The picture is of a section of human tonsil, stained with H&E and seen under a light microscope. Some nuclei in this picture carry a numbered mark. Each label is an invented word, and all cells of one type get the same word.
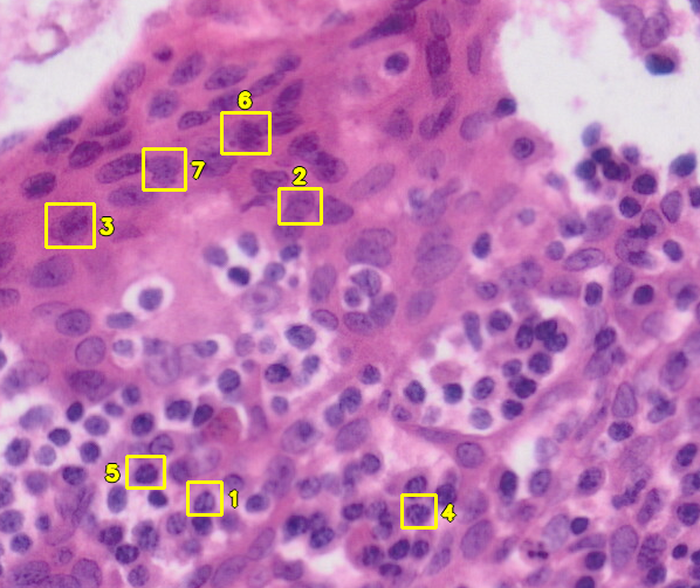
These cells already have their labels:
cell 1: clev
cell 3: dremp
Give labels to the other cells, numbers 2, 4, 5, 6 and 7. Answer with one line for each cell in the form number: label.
2: dremp
4: clev
5: clev
6: dremp
7: dremp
